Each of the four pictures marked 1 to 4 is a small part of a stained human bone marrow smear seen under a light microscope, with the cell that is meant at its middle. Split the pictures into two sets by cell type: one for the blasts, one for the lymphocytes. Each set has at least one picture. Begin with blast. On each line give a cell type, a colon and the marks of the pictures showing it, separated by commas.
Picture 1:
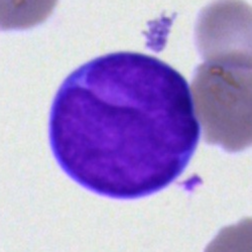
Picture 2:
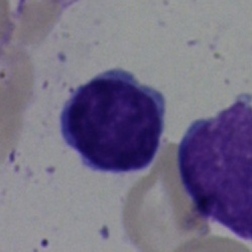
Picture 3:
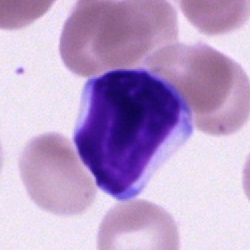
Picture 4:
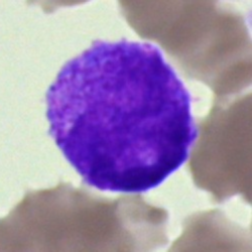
blast: 1, 4
lymphocyte: 2, 3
